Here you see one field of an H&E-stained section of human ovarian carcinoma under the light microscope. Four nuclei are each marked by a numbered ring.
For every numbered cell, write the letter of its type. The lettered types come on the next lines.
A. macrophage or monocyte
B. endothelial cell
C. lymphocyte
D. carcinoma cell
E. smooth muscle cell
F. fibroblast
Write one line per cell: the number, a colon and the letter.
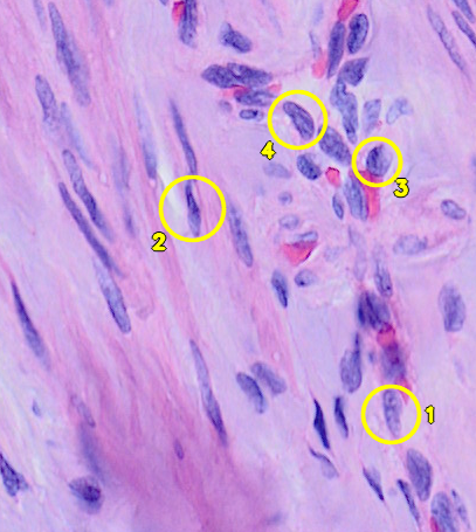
1: B
2: E
3: B
4: B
